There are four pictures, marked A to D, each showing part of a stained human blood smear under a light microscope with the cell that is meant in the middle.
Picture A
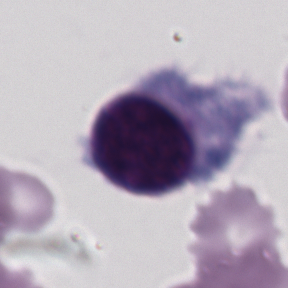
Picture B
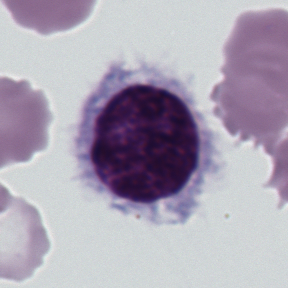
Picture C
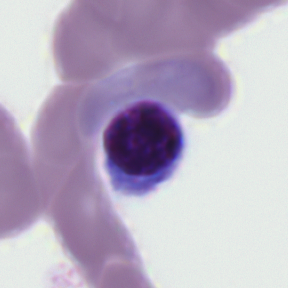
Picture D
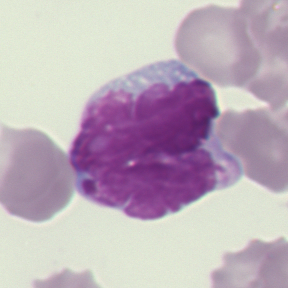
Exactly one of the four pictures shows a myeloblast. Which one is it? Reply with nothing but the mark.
D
